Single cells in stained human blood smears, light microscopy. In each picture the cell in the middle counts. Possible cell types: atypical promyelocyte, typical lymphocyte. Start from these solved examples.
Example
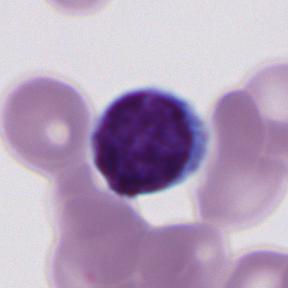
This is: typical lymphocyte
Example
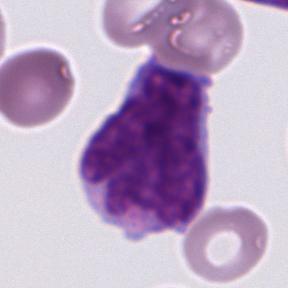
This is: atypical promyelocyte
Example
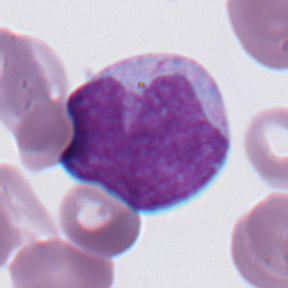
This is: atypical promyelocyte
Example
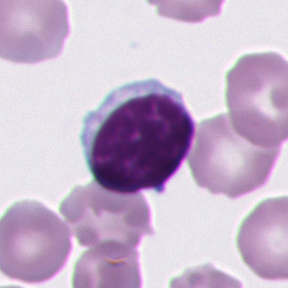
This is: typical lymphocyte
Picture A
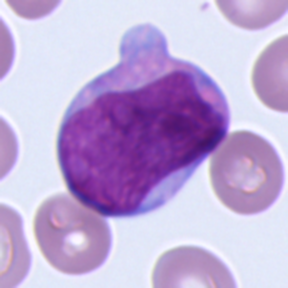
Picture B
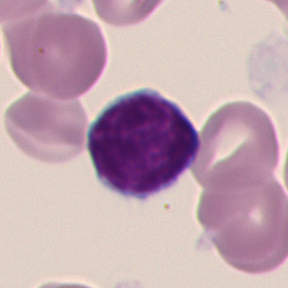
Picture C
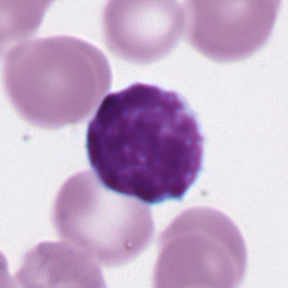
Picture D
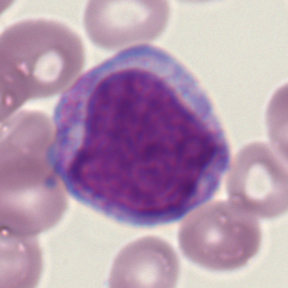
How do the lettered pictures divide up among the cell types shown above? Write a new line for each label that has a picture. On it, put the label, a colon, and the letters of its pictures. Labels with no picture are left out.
atypical promyelocyte: A, D
typical lymphocyte: B, C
